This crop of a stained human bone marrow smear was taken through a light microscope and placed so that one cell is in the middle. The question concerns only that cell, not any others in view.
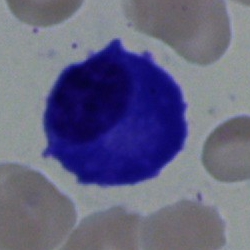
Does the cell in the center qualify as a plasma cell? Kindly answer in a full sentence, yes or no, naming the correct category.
Yes, as regards the cell in the middle, it is a plasma cell.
